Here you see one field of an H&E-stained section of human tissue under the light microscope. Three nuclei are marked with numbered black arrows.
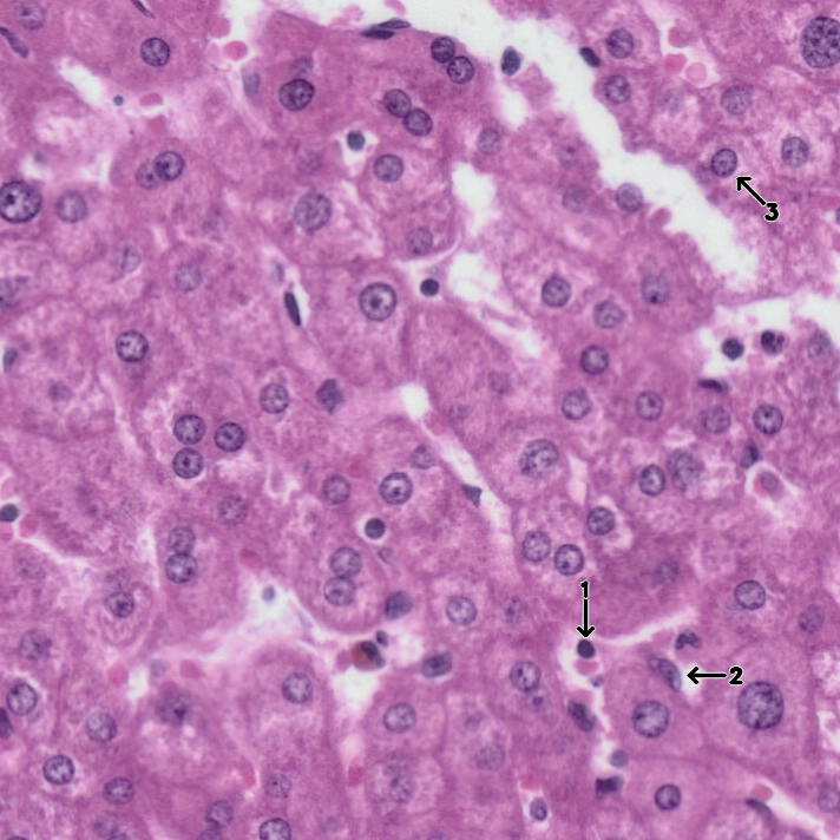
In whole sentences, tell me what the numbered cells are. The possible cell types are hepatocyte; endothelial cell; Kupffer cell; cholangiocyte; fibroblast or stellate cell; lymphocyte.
Cell 1 is a lymphocyte, cell 2 is a Kupffer cell and cell 3 is a hepatocyte.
